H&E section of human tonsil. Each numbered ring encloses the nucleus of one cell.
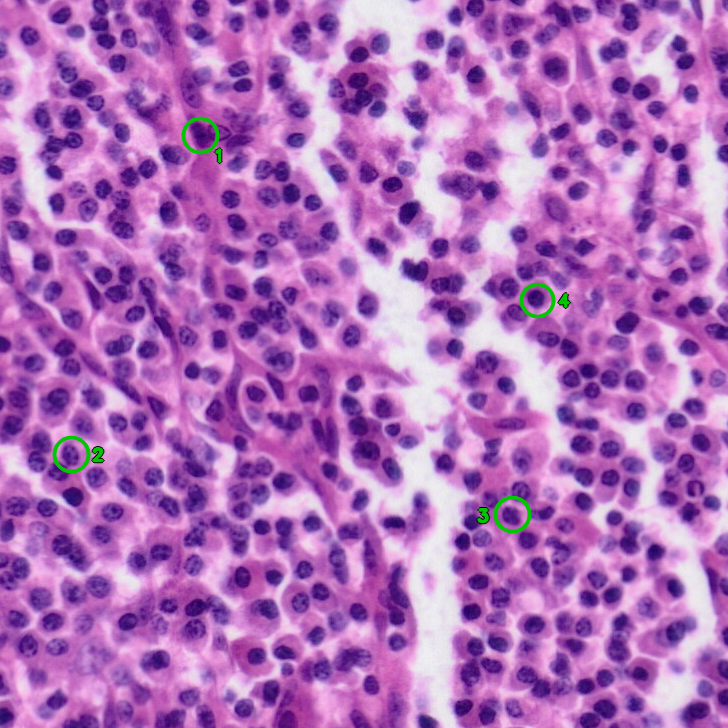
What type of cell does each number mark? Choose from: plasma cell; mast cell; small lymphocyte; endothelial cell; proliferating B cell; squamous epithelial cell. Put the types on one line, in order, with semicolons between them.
squamous epithelial cell; plasma cell; plasma cell; plasma cell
